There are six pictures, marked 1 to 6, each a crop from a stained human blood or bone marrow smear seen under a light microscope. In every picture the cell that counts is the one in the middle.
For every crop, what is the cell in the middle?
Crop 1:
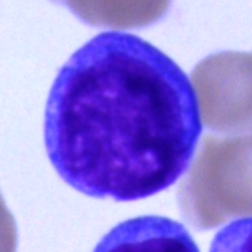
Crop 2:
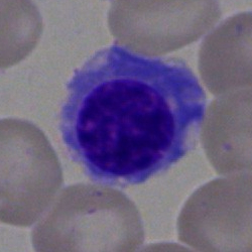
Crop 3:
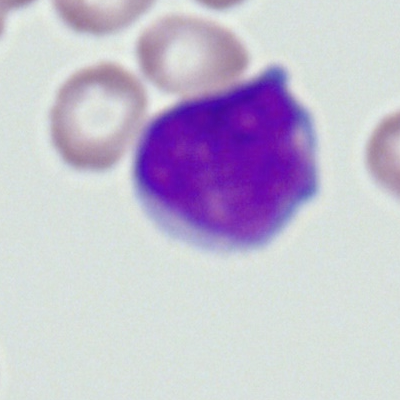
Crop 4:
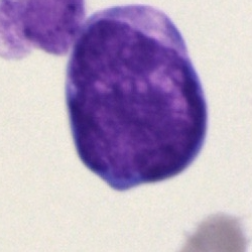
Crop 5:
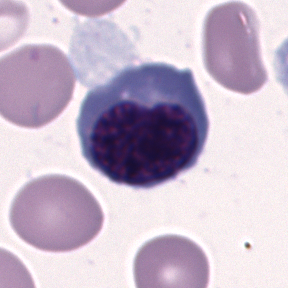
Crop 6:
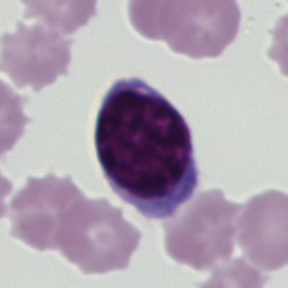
1: blast
2: erythroblast
3: blast
4: blast
5: erythroblast
6: erythroblast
